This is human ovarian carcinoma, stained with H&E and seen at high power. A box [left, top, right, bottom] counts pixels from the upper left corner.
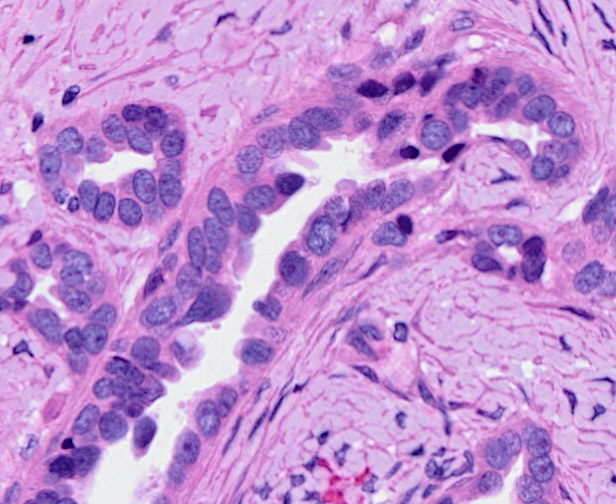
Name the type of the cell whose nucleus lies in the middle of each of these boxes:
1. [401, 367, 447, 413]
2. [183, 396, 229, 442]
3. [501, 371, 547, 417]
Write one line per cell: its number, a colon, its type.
1: fibroblast
2: carcinoma cell
3: fibroblast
